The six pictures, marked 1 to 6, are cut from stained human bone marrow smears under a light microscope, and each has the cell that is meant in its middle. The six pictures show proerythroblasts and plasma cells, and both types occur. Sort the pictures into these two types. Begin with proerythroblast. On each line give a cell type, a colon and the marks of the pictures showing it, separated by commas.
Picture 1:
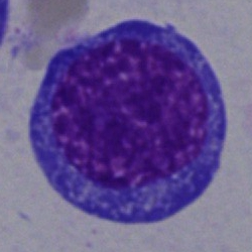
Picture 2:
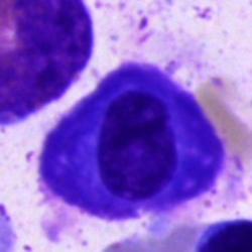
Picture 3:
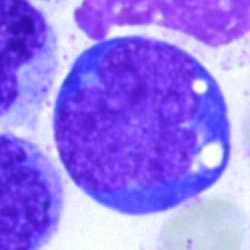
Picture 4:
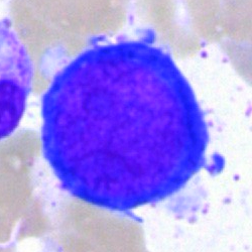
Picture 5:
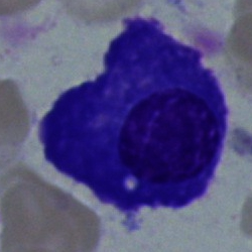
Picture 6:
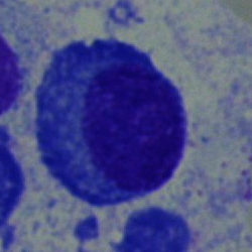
proerythroblast: 1, 3, 4
plasma cell: 2, 5, 6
